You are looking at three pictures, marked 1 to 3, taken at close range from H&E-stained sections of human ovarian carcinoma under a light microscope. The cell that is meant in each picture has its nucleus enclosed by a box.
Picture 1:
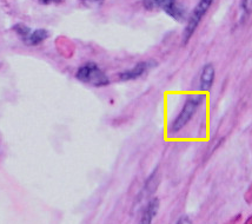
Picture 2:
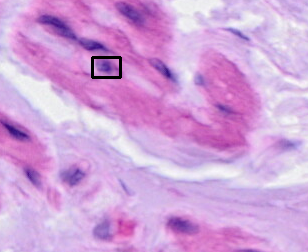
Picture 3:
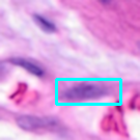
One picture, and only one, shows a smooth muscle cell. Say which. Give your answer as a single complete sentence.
The smooth muscle cell is the one in picture 2.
